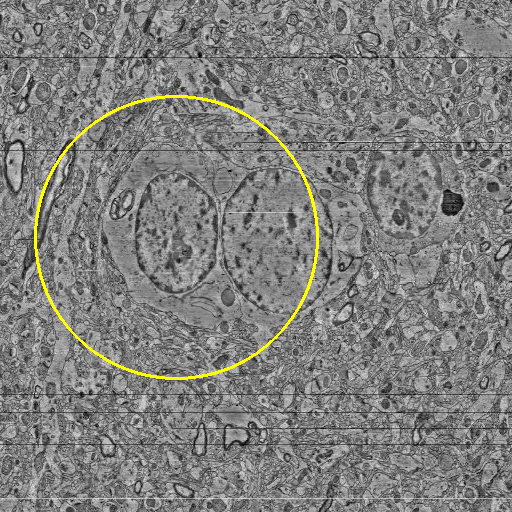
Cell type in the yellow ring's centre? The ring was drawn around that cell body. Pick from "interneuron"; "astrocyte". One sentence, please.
The ringed cell body is that of an astrocyte.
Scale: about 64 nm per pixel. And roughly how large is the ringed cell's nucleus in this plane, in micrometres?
About 8 by 5 micrometres in this plane.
